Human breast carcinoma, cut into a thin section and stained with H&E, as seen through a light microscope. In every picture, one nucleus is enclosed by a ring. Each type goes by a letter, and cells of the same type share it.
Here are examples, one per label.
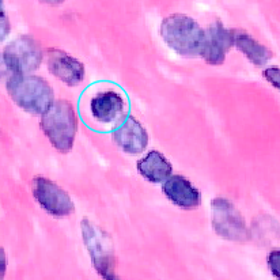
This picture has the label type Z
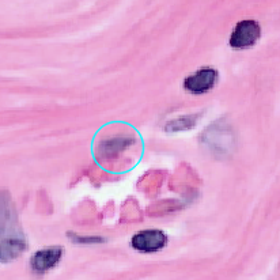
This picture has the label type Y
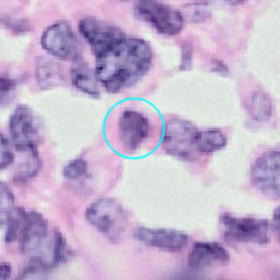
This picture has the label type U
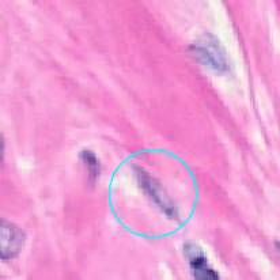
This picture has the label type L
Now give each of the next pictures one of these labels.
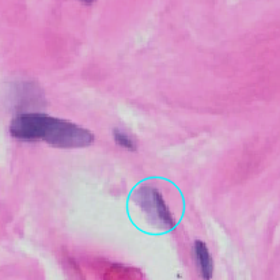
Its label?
type Y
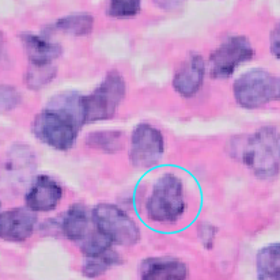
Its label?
type U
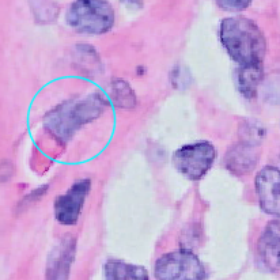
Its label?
type Y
